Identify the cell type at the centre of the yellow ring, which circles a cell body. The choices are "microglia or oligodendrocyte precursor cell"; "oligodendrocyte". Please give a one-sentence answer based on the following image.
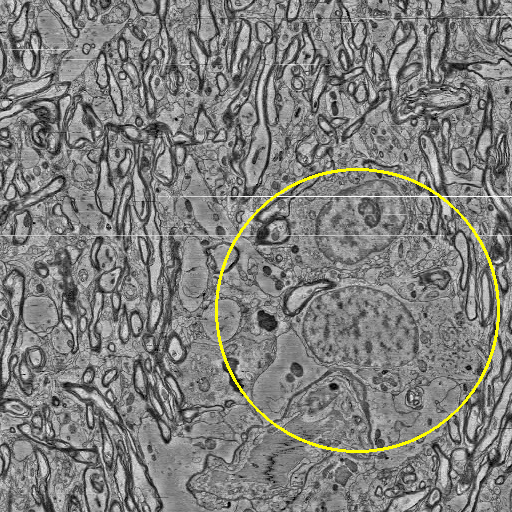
The cell marked by the ring is a microglial cell or oligodendrocyte precursor cell.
